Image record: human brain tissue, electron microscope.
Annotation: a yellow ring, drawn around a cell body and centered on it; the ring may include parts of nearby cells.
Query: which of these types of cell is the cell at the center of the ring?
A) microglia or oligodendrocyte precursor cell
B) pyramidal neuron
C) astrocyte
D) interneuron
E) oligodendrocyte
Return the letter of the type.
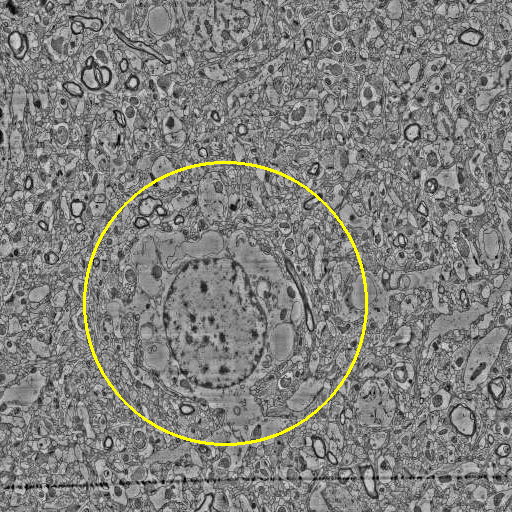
C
